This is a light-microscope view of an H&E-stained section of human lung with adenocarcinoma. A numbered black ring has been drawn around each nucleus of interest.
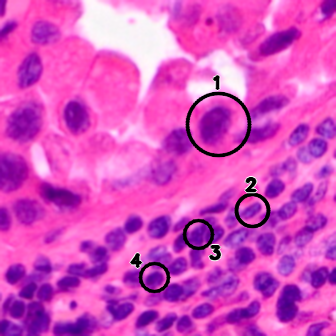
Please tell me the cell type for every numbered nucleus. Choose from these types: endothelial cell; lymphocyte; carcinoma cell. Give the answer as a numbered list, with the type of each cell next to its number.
1. carcinoma cell
2. lymphocyte
3. lymphocyte
4. lymphocyte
